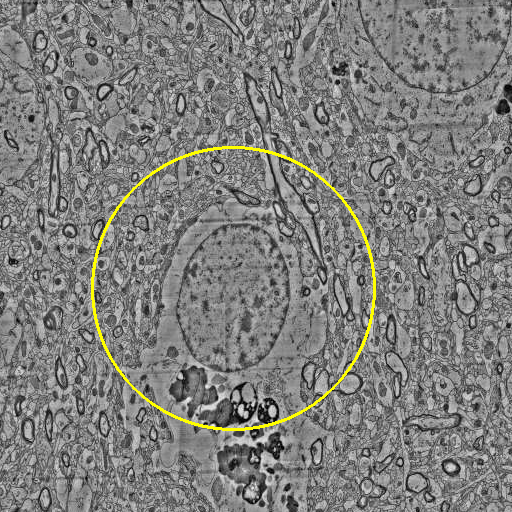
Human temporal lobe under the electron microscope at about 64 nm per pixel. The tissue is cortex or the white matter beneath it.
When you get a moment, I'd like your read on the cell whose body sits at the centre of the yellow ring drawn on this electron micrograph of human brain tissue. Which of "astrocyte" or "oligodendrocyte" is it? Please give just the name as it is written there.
astrocyte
